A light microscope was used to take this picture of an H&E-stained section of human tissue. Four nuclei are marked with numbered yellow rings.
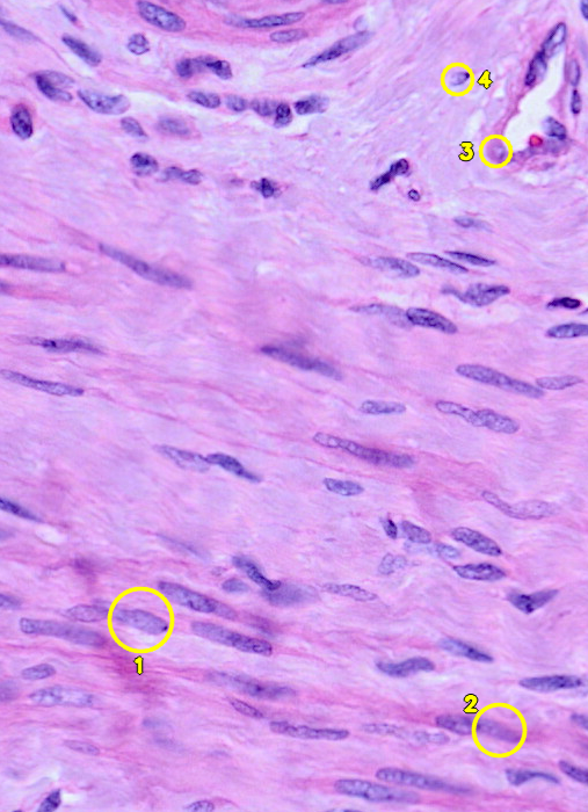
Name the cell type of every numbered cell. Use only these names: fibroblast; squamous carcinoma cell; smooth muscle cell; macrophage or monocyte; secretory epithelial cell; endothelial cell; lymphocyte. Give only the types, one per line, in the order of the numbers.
smooth muscle cell
smooth muscle cell
endothelial cell
fibroblast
